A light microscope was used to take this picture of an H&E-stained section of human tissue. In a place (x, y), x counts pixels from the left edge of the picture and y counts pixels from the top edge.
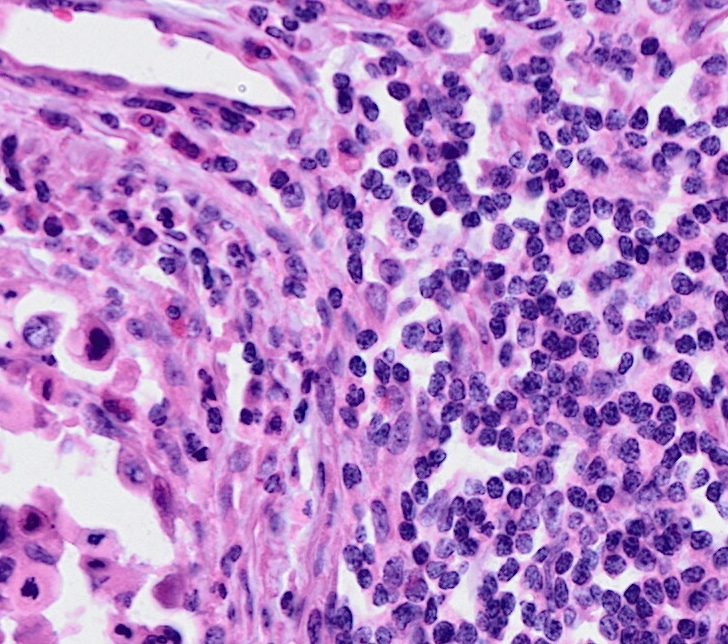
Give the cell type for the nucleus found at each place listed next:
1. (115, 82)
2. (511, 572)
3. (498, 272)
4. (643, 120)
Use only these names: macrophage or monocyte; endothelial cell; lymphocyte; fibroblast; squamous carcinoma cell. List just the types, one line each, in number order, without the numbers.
endothelial cell
lymphocyte
lymphocyte
lymphocyte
